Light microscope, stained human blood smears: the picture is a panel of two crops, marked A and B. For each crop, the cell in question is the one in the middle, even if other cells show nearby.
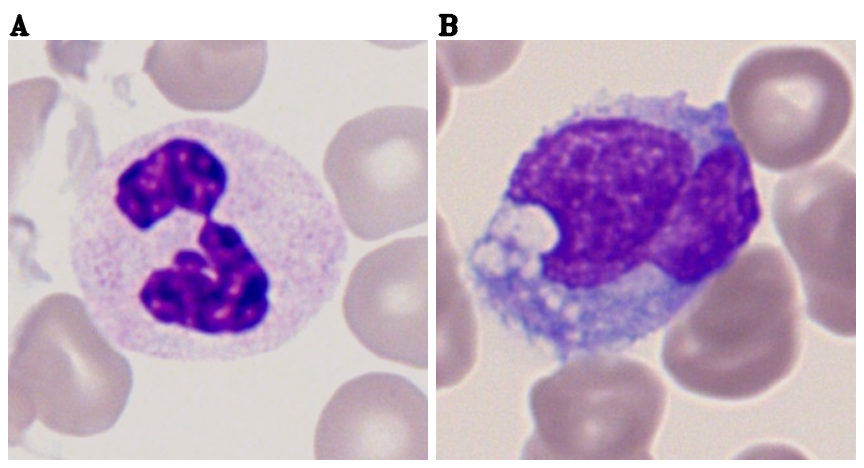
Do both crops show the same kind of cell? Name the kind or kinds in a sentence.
No, crop A depicts a segmented neutrophil; crop B depicts a monocyte.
